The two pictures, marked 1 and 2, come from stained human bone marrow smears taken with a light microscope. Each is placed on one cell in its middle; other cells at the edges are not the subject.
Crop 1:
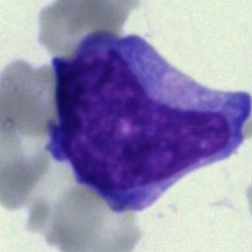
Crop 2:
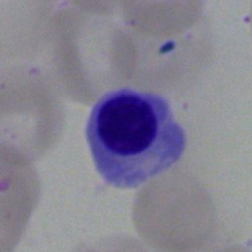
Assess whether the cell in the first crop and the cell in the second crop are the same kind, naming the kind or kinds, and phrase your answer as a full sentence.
No, it is in crop 1 that a blast is shown, and in crop 2 that an erythroblast is shown.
